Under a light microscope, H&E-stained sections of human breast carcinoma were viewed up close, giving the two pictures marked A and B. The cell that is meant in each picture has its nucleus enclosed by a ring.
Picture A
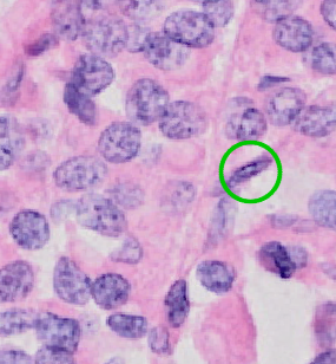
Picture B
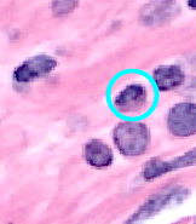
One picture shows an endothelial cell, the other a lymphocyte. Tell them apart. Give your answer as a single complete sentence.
Picture A is of an endothelial cell, and picture B is of a lymphocyte.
